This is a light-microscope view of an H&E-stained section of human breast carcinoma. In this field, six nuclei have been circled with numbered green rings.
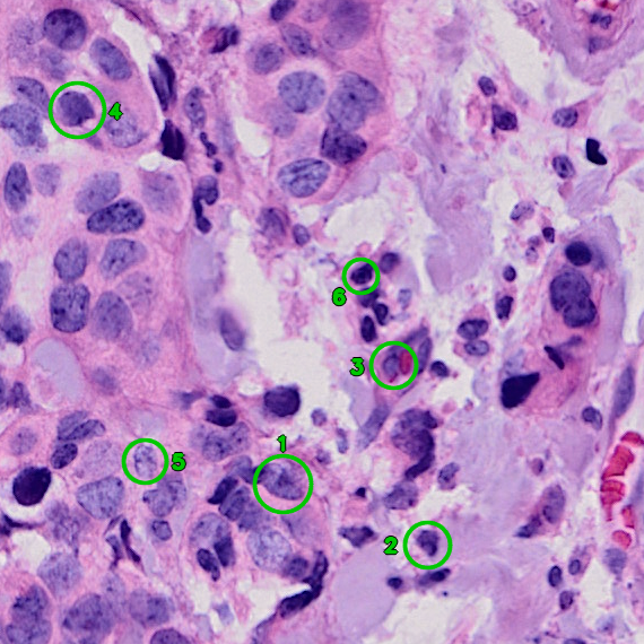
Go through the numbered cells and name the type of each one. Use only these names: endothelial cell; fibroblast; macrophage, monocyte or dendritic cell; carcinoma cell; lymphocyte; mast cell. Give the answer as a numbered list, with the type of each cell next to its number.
1. carcinoma cell
2. lymphocyte
3. endothelial cell
4. carcinoma cell
5. carcinoma cell
6. lymphocyte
